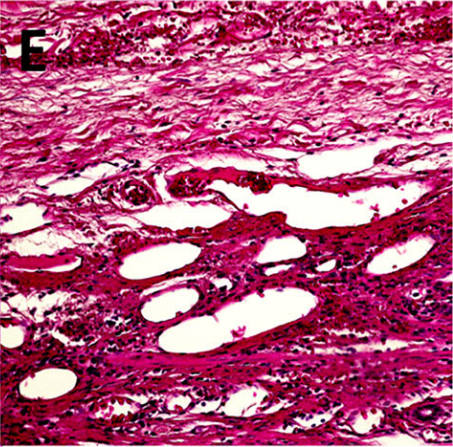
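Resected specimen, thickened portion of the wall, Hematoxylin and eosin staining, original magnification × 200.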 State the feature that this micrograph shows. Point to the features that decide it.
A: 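Numerous rounded and oval vessel lumens of differing size. The vessels have thin, irregular walls. They lie crowded in pink stroma with scattered nuclei.
Conclusion: malformed veins of various sizes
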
